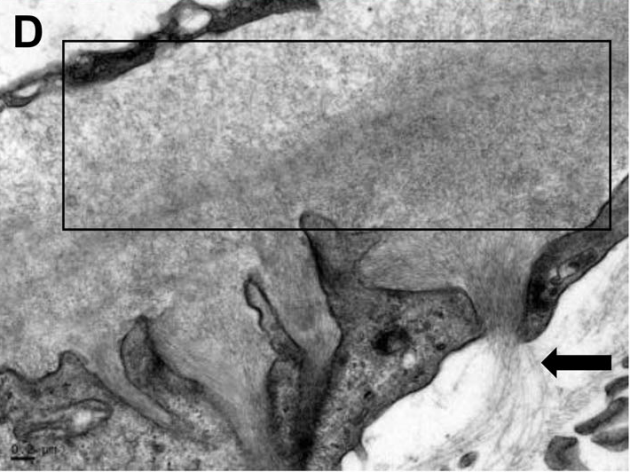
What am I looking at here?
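At high magnification a broad grey band of fine, felt-like material fills the upper part of the field, bordered by dark cell profiles. Within it very thin, straight, non-branching filaments lie in random orientation, tightly packed in the upper region. Lower right, the same filaments splay out more loosely into a pale space. These are abundant fibrils, densely deposited in one area and less densely elsewhere.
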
